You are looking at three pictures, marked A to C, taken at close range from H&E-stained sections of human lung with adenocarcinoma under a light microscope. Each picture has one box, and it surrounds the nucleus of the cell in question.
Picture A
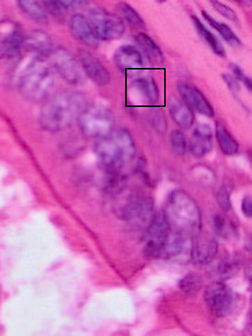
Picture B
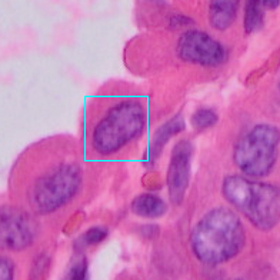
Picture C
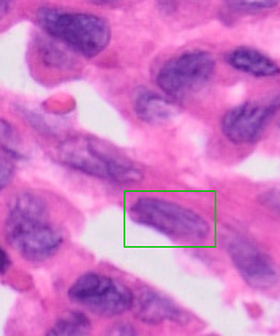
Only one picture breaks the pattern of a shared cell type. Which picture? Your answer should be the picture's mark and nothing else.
A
